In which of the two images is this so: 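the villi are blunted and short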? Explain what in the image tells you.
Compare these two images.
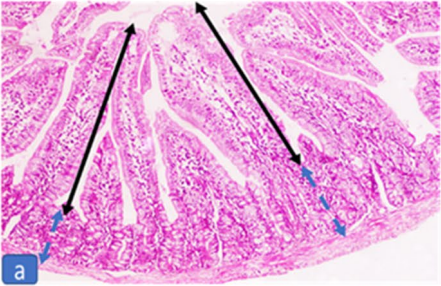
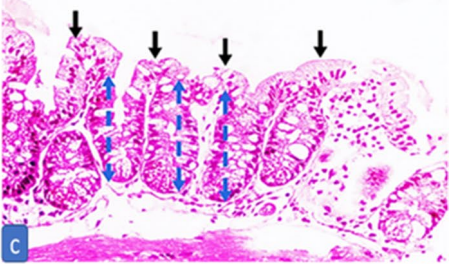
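Second image: mucosal projections are short and broad with flat tops. So: the second image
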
